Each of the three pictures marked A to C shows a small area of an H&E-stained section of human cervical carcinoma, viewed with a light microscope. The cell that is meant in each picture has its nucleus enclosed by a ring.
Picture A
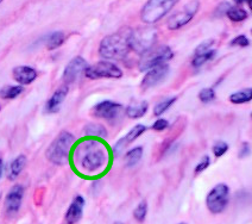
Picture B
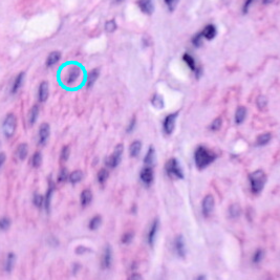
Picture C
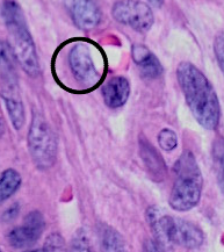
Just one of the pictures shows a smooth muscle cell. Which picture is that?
B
